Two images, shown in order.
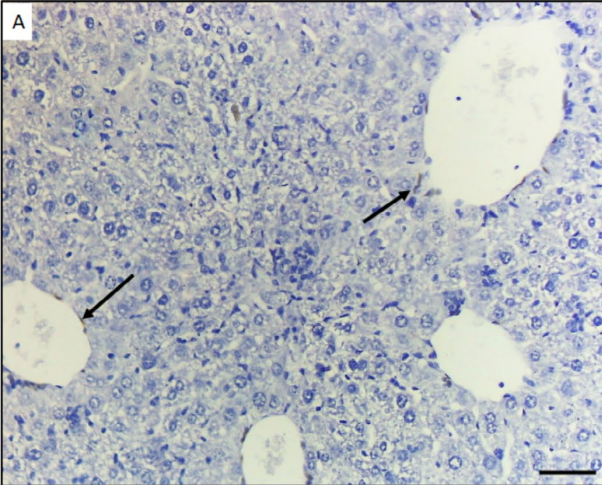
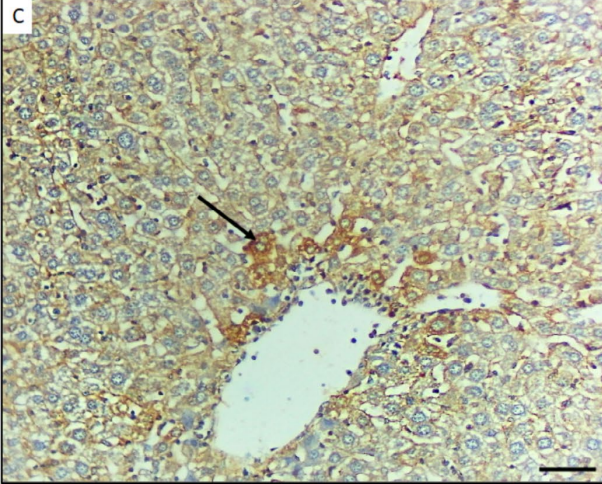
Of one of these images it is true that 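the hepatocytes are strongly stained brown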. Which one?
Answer: the second image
